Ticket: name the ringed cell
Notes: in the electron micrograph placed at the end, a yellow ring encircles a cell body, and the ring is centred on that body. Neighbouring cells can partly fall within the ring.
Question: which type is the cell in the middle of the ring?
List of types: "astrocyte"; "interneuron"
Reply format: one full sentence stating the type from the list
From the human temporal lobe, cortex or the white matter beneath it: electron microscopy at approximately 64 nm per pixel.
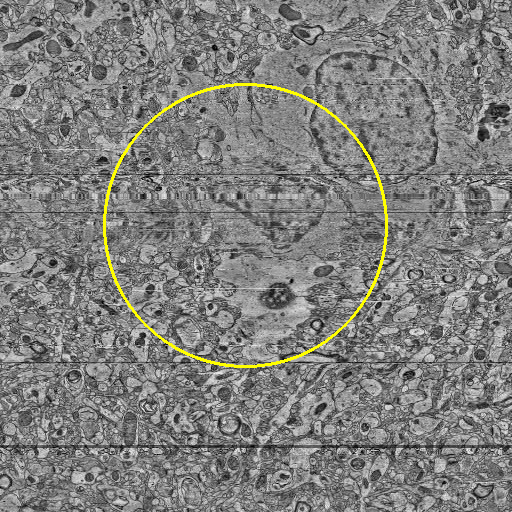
The cell sitting at the centre of the yellow ring is an astrocyte.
